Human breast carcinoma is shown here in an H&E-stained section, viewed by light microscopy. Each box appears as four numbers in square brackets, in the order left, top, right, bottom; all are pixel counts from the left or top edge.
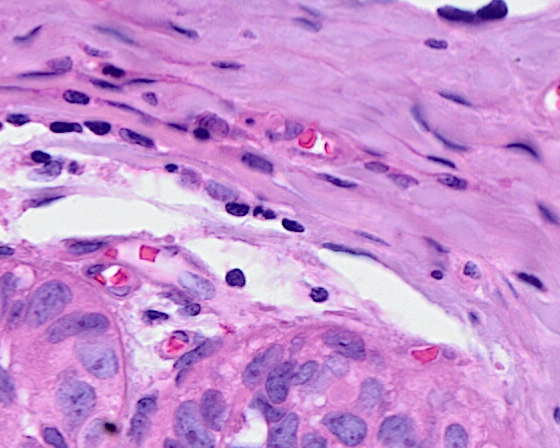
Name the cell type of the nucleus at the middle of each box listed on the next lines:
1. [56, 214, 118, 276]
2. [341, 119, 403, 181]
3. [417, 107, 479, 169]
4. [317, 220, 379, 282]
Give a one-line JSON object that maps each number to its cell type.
{"1": "endothelial cell", "2": "fibroblast", "3": "fibroblast", "4": "fibroblast"}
